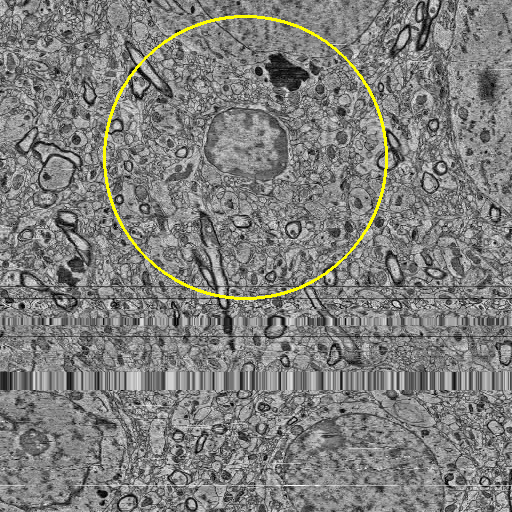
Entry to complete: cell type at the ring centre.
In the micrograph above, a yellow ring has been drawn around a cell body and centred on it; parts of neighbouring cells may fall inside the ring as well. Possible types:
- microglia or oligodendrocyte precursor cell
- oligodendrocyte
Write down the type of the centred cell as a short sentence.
The ring is centred on a microglial cell or oligodendrocyte precursor cell.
